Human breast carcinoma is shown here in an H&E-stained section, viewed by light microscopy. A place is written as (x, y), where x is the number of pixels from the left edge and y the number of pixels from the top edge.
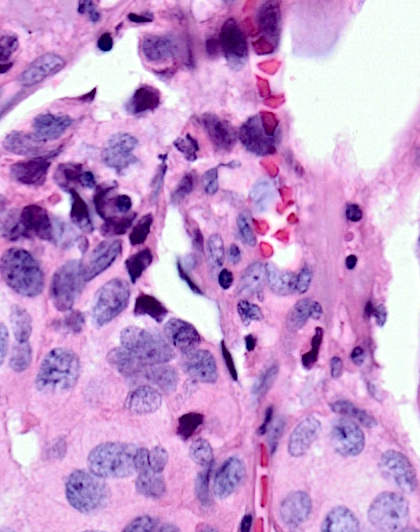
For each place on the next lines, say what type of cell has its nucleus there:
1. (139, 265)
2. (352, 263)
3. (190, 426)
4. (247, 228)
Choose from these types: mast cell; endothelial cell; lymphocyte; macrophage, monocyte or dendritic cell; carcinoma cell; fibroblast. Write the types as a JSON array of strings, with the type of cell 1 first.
["carcinoma cell", "lymphocyte", "carcinoma cell", "endothelial cell"]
